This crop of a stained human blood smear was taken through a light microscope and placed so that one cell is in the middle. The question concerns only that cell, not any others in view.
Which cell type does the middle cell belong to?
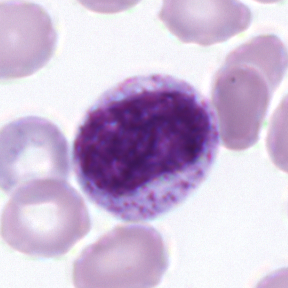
metamyelocyte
